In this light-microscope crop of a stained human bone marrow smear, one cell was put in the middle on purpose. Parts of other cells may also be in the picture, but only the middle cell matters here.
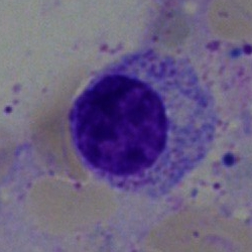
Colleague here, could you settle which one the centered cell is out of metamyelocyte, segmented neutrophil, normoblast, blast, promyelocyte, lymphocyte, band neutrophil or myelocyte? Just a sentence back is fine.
The cell shown in the center of this light-microscope crop is a myelocyte.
